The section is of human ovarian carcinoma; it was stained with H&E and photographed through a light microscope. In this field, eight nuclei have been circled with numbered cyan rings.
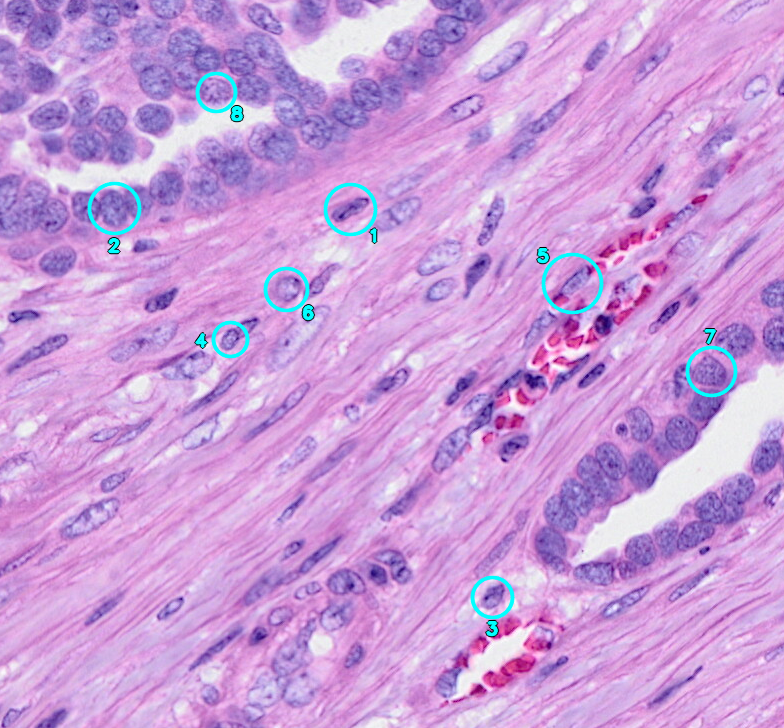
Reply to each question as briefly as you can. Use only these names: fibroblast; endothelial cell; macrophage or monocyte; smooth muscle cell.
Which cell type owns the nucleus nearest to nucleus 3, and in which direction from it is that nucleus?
a fibroblast; above nucleus 3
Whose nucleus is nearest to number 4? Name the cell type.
macrophage or monocyte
